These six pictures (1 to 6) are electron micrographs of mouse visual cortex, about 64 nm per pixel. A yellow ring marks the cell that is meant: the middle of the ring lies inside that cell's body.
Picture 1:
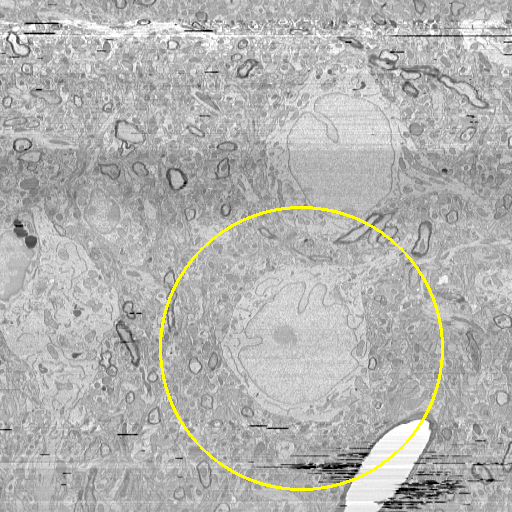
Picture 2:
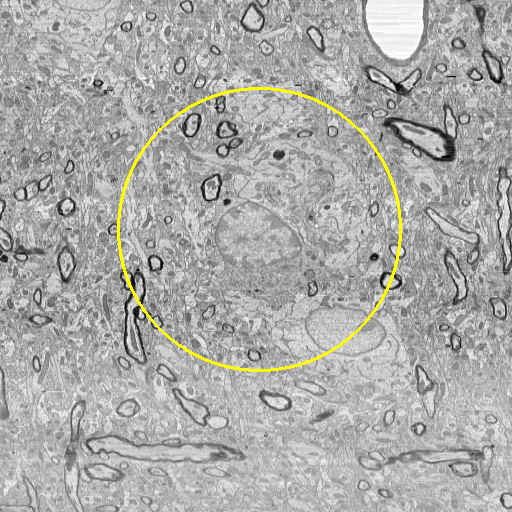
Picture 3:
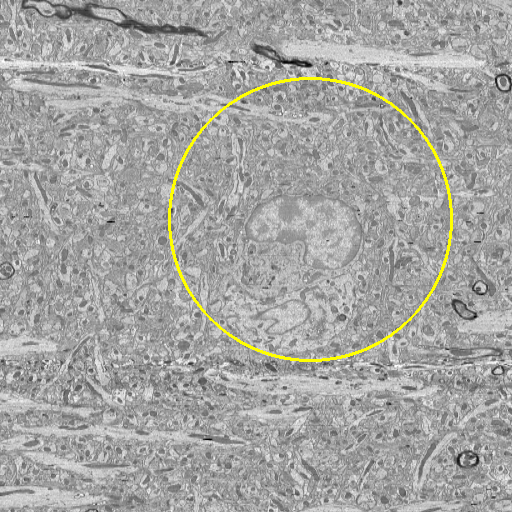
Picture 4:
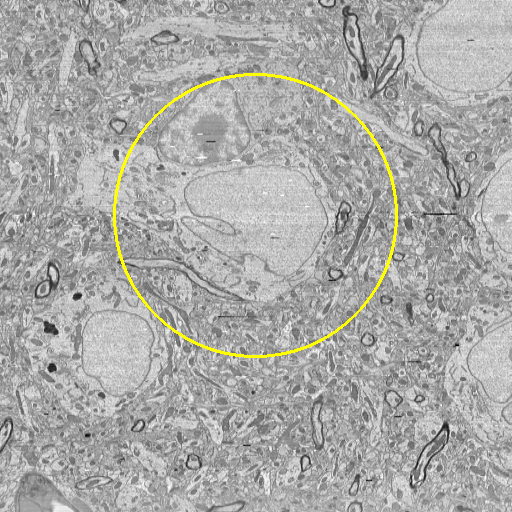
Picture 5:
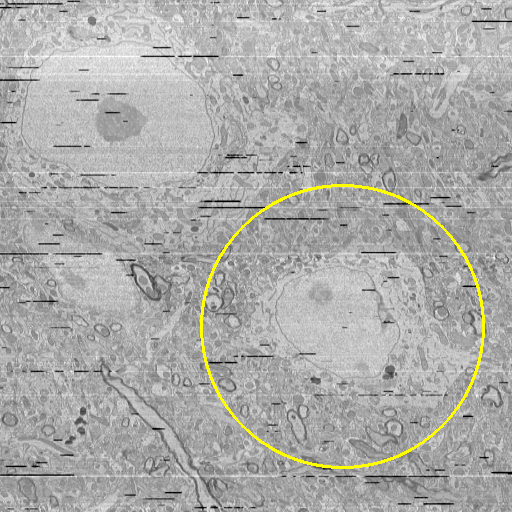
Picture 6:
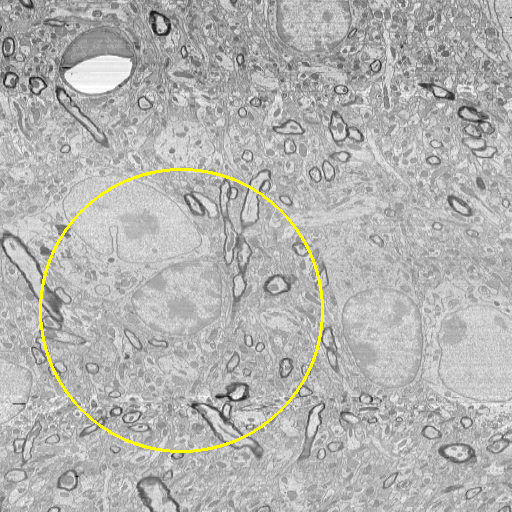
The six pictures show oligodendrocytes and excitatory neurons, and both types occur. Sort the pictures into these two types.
Pictures 2, 3 and 6 show oligodendrocytes, while pictures 1, 4 and 5 show excitatory neurons.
